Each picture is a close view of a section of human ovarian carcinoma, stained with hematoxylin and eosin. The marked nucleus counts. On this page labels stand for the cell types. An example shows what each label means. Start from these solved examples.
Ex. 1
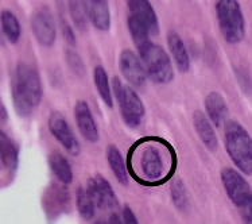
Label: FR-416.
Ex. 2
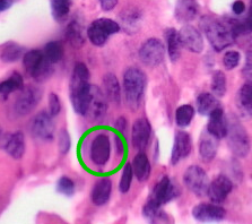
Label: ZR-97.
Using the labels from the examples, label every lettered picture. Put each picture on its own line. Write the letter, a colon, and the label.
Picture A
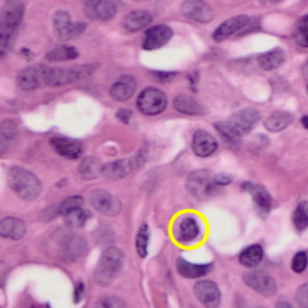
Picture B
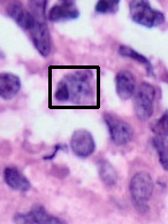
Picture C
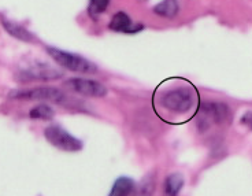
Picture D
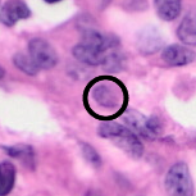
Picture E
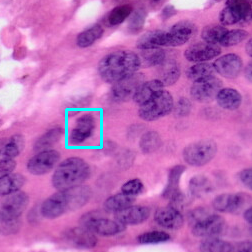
A: FR-416.
B: FR-416.
C: ZR-97.
D: FR-416.
E: FR-416.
